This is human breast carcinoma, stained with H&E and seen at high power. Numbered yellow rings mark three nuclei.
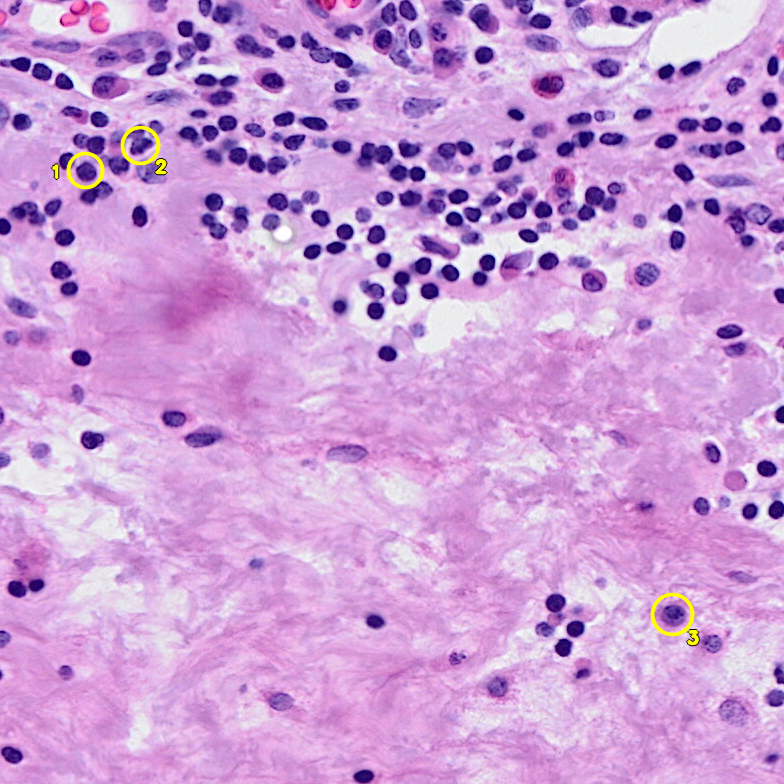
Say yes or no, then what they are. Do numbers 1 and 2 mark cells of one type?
Yes, along with cell 1, cell 2 is also among the lymphocytes.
